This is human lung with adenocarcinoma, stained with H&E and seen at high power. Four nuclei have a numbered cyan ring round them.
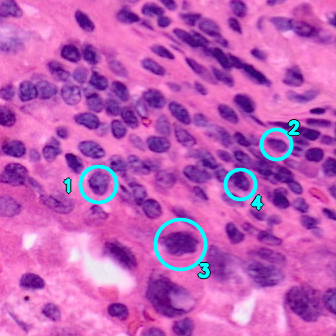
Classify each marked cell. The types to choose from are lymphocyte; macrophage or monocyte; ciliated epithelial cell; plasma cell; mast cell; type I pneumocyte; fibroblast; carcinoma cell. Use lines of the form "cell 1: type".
cell 1: lymphocyte
cell 2: lymphocyte
cell 3: carcinoma cell
cell 4: lymphocyte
